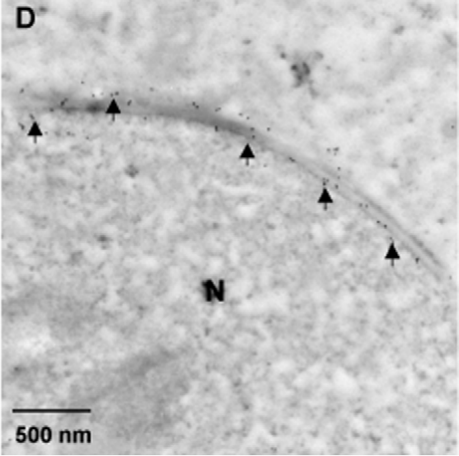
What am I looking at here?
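A large rounded nucleus with finely granular, pale chromatin fills the lower part of the view. Over its upper edge runs a thin, darker, smoothly curved layer that hugs the nuclear border like a cap, and along it lie many tiny black dots, clustered mostly on this layer and close to the nuclear envelope, with few elsewhere in the cytoplasm above. This is a spermatid, and the dense cap is the acrosomic region lying closely against the nuclear membrane, where the labelling particles gather.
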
